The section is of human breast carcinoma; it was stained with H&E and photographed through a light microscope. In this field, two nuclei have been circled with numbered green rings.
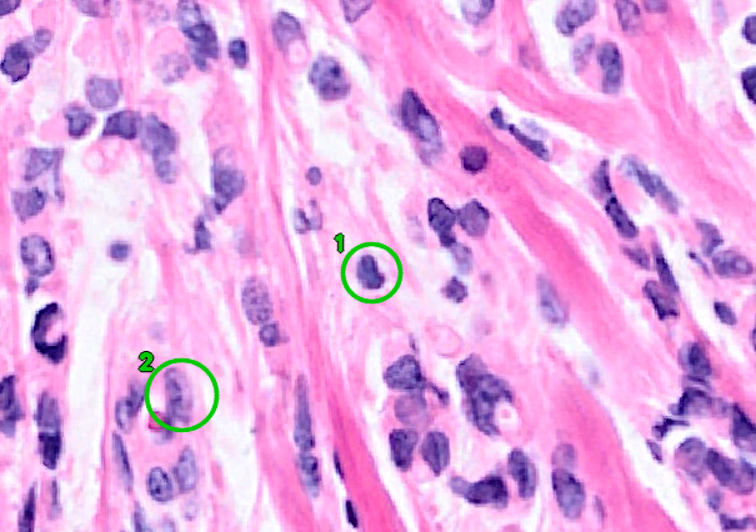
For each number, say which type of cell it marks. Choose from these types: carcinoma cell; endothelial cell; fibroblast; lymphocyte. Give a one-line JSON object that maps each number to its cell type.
{"1": "lymphocyte", "2": "endothelial cell"}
